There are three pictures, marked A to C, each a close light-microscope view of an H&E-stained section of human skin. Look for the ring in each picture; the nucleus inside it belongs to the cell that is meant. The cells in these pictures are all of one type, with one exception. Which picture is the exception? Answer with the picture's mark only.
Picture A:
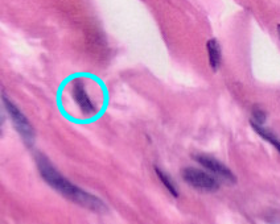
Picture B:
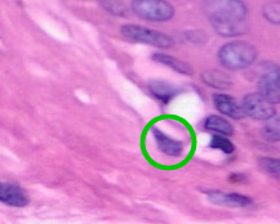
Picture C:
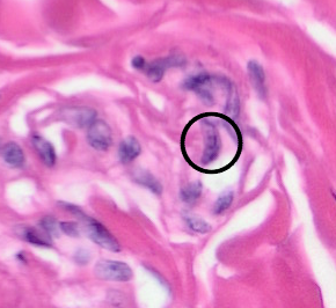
C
